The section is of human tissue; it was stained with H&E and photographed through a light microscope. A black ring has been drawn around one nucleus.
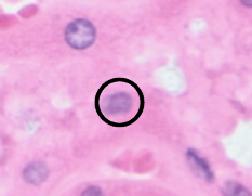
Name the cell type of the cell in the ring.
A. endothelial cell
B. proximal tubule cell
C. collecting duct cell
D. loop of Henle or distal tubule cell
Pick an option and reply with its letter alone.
B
